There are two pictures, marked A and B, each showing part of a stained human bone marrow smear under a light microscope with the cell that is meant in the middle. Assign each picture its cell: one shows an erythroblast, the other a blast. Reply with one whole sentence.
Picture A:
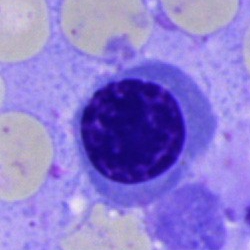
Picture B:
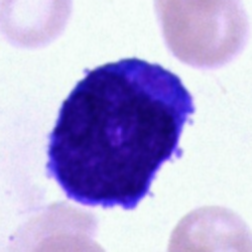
The cell in picture A is an erythroblast, and the one in picture B is a blast.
